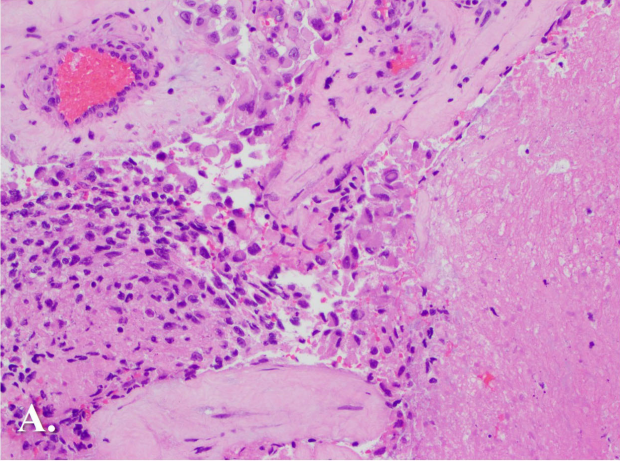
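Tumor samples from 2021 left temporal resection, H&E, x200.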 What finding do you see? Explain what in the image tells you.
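Hyalinization. Vessel walls are thickened by glassy, homogeneous pink material. Few nuclei lie within the thickened pink vessel walls.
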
